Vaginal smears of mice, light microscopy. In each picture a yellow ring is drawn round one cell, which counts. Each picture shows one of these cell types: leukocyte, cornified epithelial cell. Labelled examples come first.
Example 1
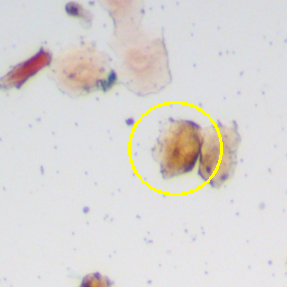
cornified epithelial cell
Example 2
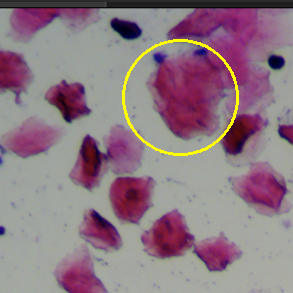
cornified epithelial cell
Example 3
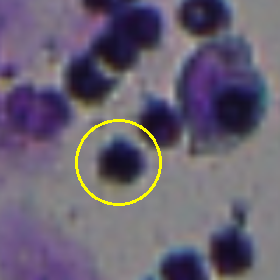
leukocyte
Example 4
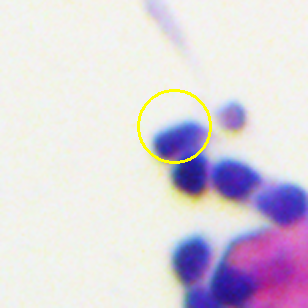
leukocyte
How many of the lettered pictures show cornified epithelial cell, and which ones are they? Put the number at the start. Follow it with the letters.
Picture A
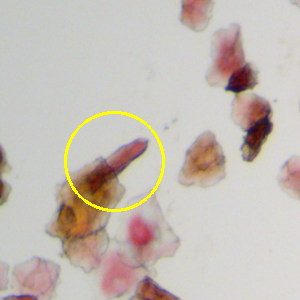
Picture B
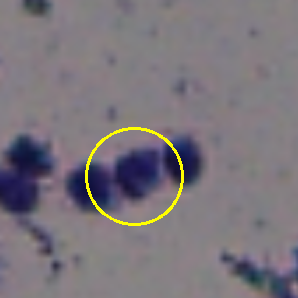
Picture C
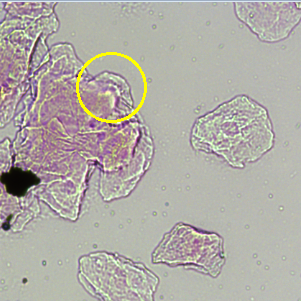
2, namely A, C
